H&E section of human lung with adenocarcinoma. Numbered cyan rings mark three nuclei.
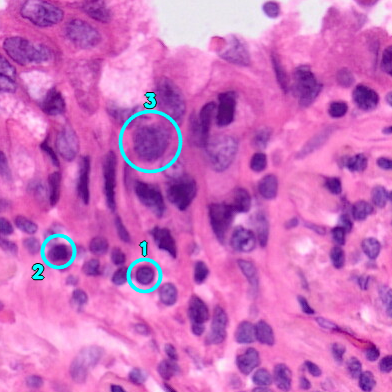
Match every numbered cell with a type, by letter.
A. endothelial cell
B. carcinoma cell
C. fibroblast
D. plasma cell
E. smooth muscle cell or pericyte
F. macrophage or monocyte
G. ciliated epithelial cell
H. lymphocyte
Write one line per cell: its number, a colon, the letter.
1: H
2: D
3: B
